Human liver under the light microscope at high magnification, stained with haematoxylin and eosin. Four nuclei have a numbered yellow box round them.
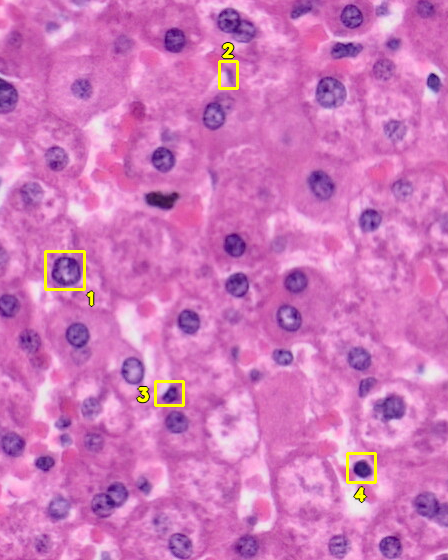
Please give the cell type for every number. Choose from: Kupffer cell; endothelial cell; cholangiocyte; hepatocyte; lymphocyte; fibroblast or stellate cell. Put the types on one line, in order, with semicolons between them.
hepatocyte; endothelial cell; fibroblast or stellate cell; lymphocyte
